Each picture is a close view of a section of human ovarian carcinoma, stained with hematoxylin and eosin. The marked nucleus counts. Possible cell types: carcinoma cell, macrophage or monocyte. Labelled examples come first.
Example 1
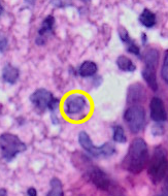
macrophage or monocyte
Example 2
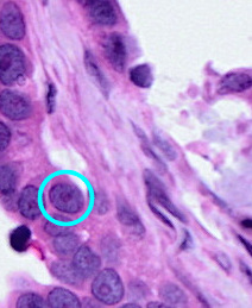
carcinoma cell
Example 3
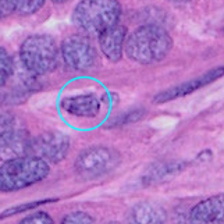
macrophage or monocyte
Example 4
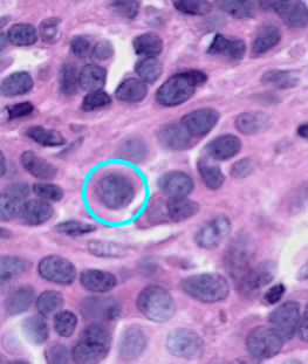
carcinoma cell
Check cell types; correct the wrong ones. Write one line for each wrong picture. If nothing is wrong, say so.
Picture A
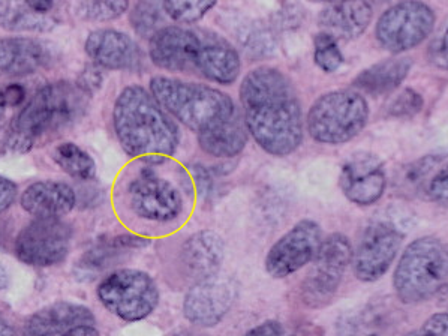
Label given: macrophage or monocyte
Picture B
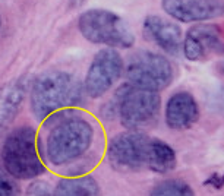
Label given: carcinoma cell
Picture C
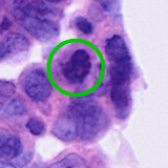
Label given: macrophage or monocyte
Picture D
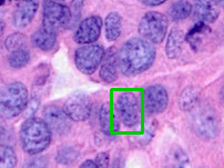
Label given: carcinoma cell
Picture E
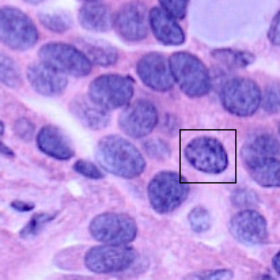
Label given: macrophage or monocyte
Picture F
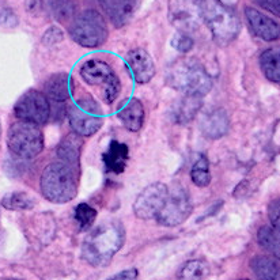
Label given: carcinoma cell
Wrong: C (macrophage or monocyte); correct: carcinoma cell
Wrong: F (carcinoma cell); correct: macrophage or monocyte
